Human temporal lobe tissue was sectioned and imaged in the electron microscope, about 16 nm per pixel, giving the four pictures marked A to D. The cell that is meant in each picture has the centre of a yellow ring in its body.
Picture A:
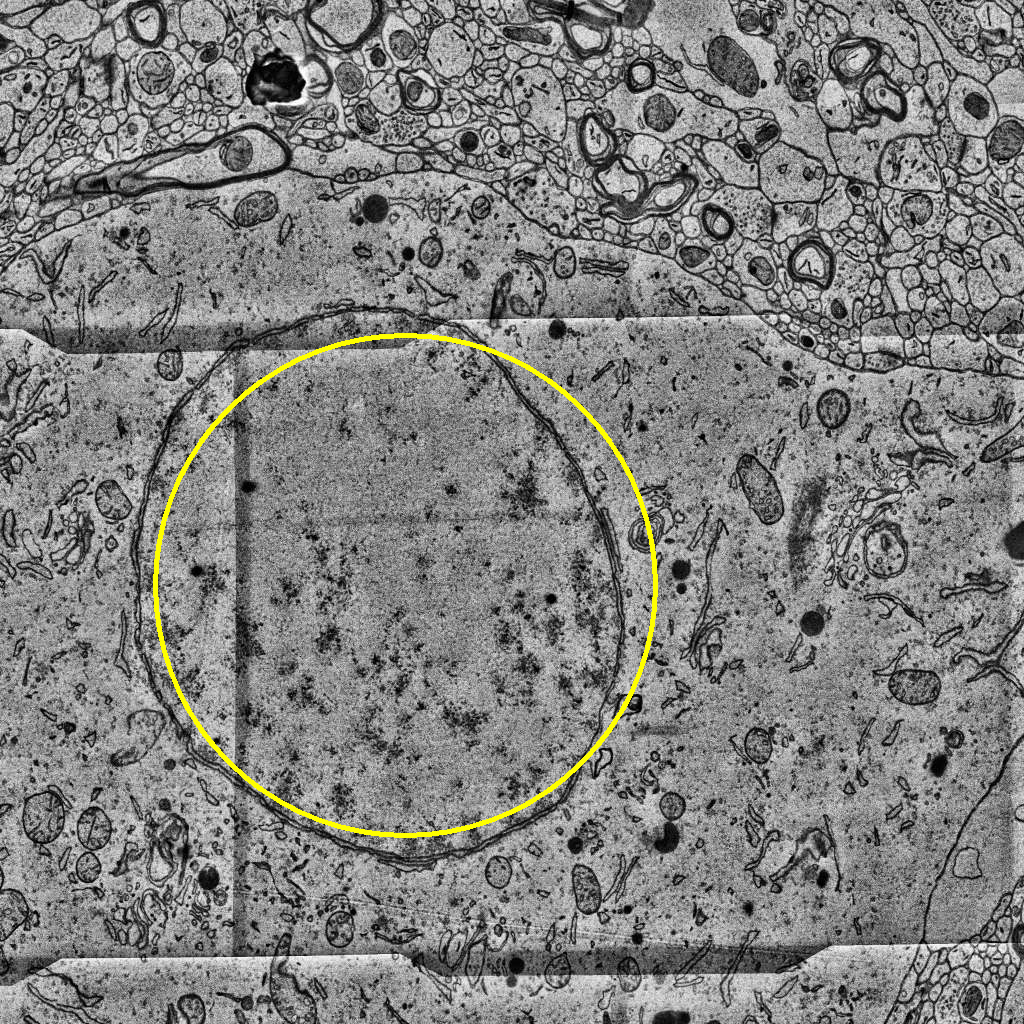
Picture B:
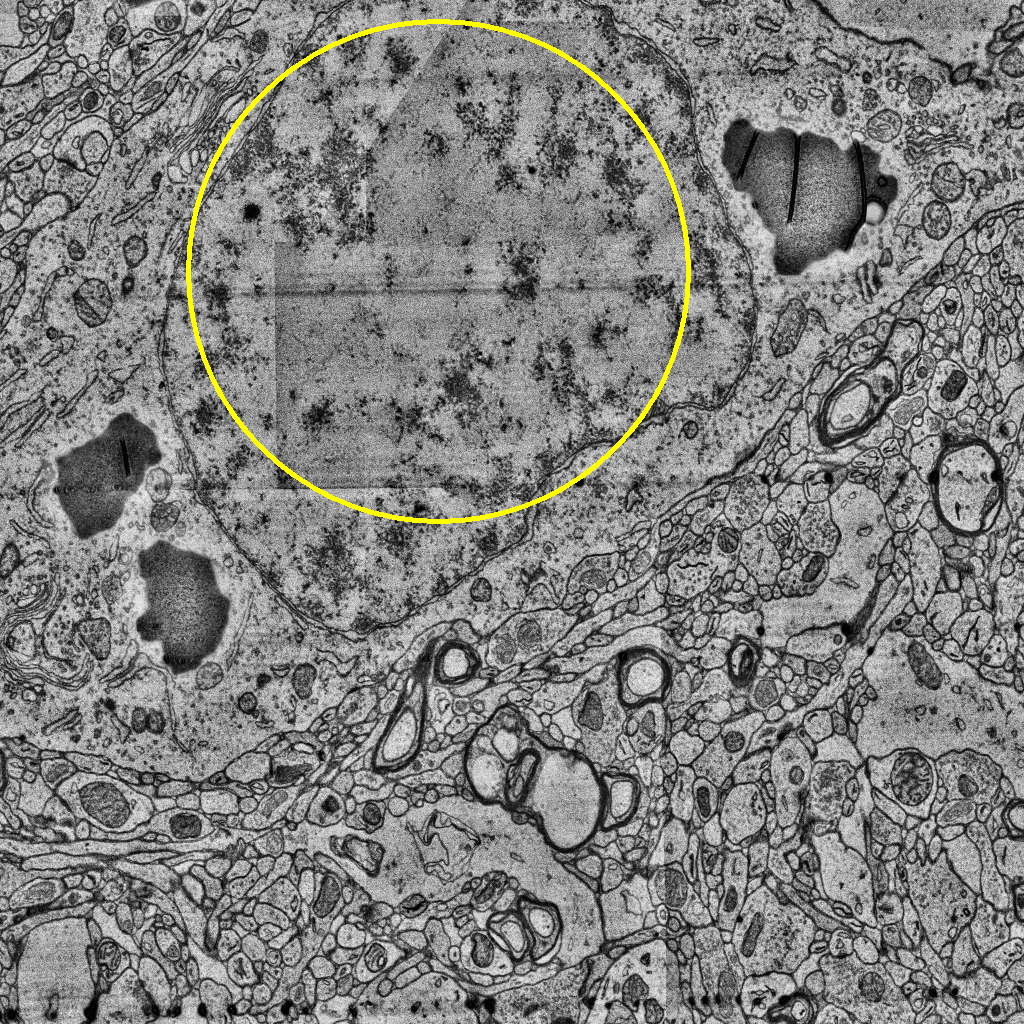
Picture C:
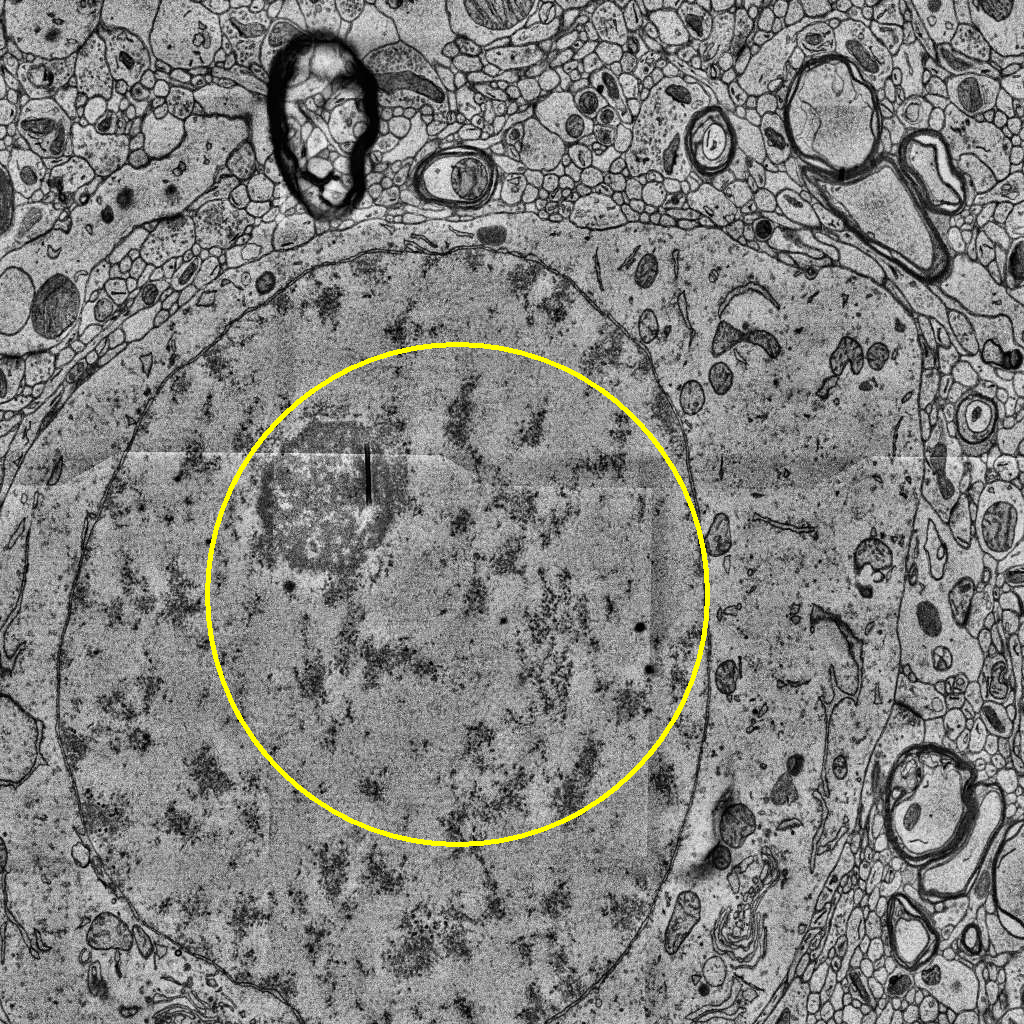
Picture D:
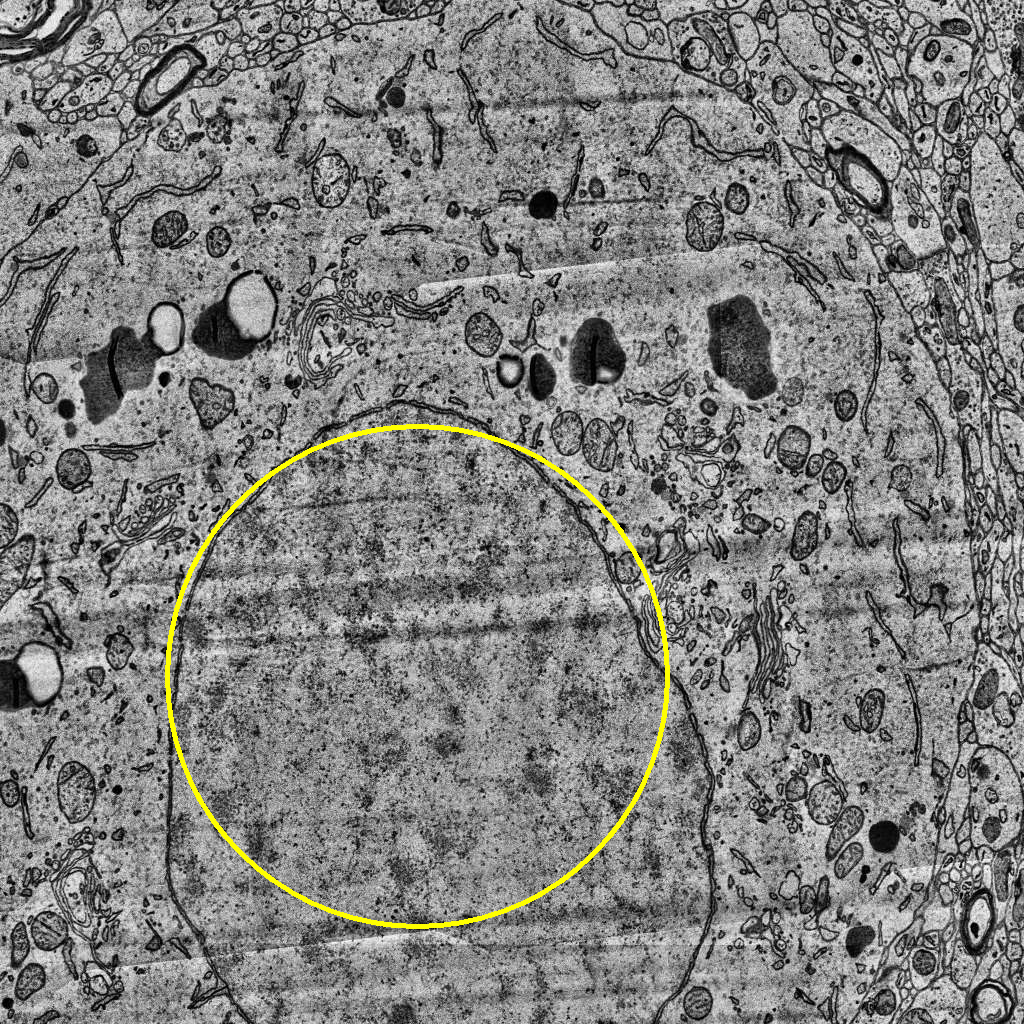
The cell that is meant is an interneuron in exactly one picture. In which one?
Picture B shows the interneuron.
